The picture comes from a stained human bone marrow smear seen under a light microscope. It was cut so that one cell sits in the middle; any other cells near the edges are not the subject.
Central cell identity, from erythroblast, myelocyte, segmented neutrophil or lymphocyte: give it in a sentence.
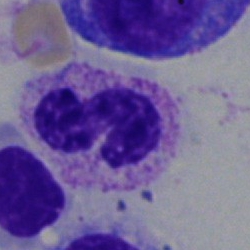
At the middle of the frame sits a segmented neutrophil.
